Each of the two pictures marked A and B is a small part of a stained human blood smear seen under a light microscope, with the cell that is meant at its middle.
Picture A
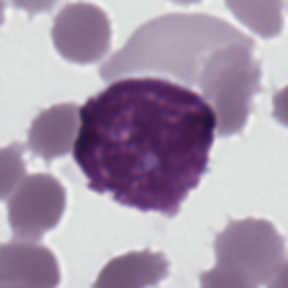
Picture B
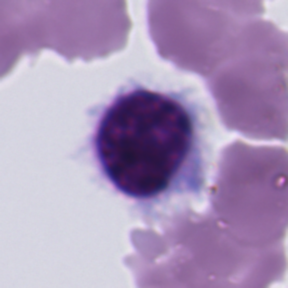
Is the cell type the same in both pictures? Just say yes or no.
no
